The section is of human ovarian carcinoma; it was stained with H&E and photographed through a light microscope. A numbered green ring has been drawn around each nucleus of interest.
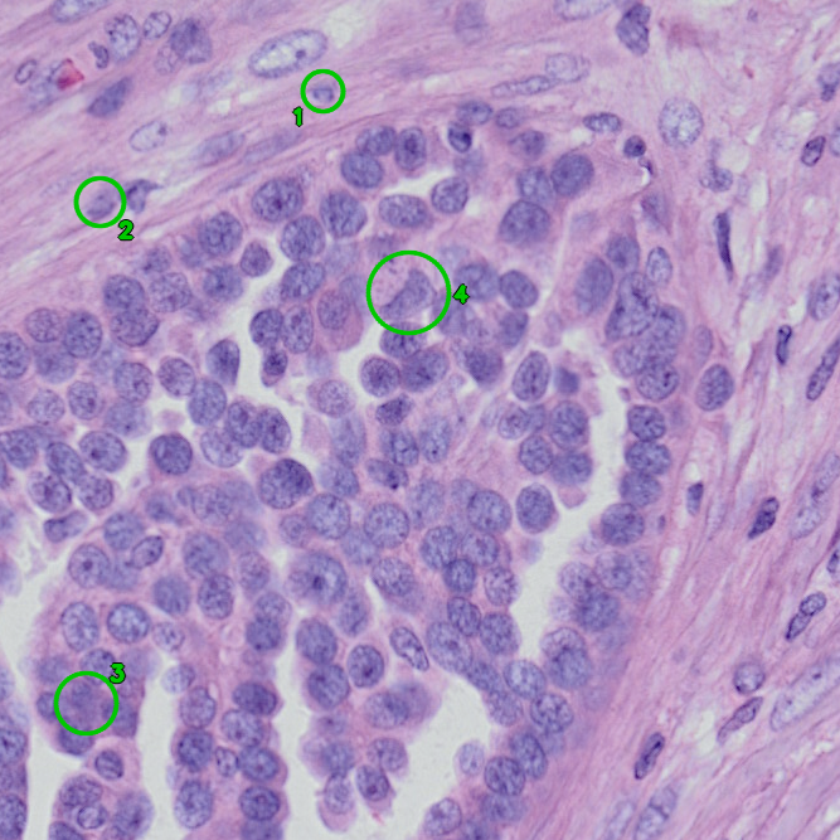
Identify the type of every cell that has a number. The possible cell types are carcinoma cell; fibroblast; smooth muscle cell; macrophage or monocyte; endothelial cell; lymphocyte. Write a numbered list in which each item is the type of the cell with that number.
1. macrophage or monocyte
2. fibroblast
3. carcinoma cell
4. carcinoma cell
